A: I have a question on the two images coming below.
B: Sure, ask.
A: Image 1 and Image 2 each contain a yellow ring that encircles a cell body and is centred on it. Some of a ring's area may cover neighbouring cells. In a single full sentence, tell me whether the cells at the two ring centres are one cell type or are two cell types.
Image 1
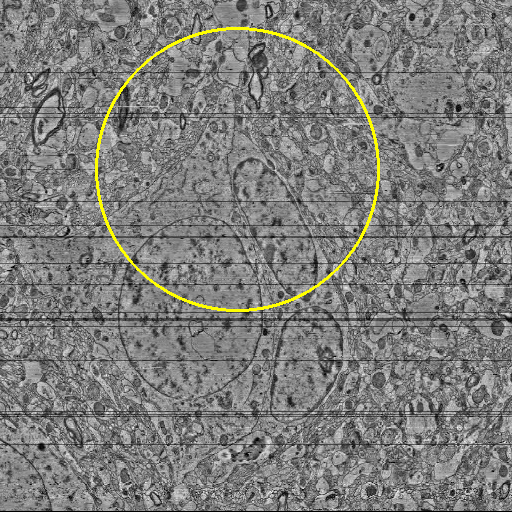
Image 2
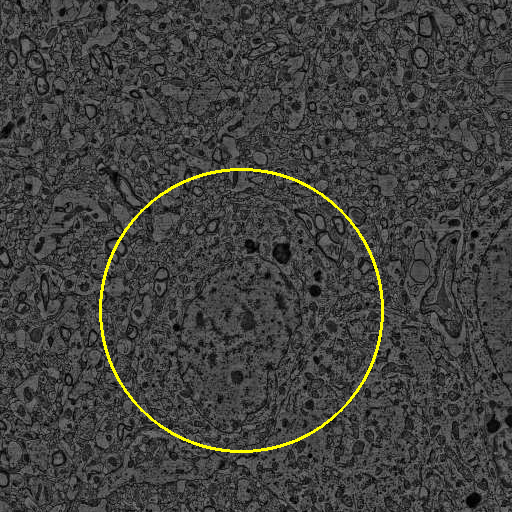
As for the ring-centre cells, the one in Image 1 and the one in Image 2 are two cell types.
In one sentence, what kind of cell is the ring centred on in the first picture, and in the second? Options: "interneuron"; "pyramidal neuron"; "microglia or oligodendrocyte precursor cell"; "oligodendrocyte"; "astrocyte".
The cell at the centre of the second ring is an interneuron; the first ring's cell is a microglial cell or oligodendrocyte precursor cell.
